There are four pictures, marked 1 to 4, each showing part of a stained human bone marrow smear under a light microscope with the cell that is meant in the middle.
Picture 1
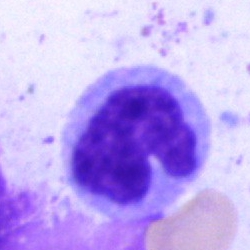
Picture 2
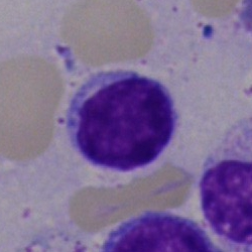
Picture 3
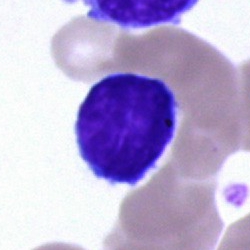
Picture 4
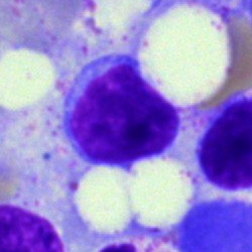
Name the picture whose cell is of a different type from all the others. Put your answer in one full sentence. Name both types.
Picture 1 differs, because its cell is a monocyte and the rest are lymphocytes.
